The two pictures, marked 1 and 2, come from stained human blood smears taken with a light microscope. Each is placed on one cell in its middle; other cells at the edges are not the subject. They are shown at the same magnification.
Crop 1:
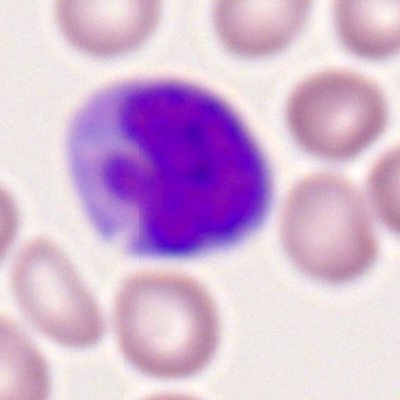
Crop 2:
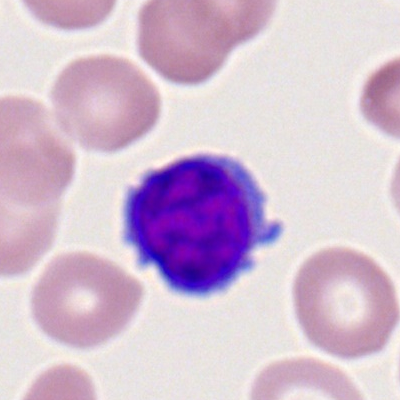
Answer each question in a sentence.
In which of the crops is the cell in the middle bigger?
Larger is the cell in crop 1, at roughly 2 times the area of the other.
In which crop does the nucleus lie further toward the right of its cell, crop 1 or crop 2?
Seen within its cell, the nucleus in crop 1 lies further toward the right.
